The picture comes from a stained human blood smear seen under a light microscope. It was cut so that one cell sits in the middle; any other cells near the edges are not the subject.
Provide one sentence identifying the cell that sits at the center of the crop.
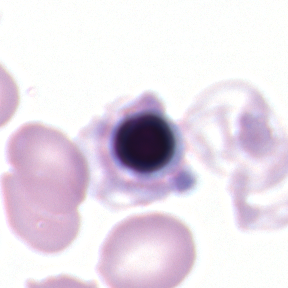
The cell shown in the center of this light-microscope crop is a normoblast.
